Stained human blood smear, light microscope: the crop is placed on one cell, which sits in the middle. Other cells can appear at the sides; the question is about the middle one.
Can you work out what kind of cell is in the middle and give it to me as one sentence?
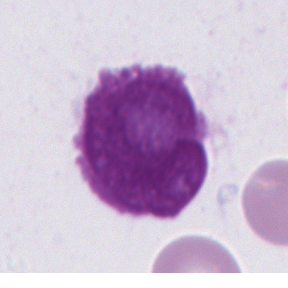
As for the central cell, it is a smudge cell.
